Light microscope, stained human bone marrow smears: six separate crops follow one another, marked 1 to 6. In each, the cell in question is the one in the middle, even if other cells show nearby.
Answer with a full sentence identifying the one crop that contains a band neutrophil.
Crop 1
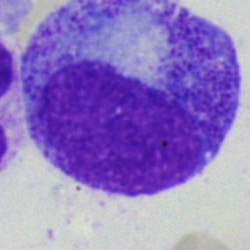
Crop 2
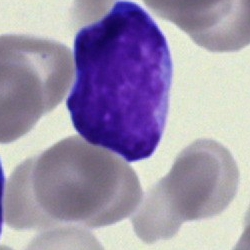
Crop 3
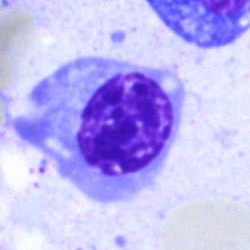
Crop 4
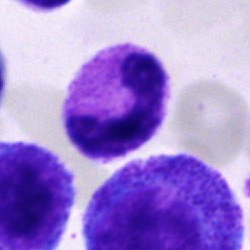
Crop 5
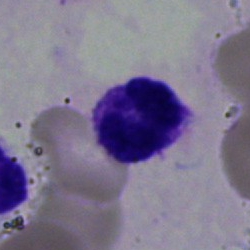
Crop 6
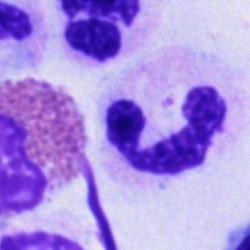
Crop 4 is the crop that displays a band neutrophil.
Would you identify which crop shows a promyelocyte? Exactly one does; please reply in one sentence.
That would be crop 1; it shows a promyelocyte.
